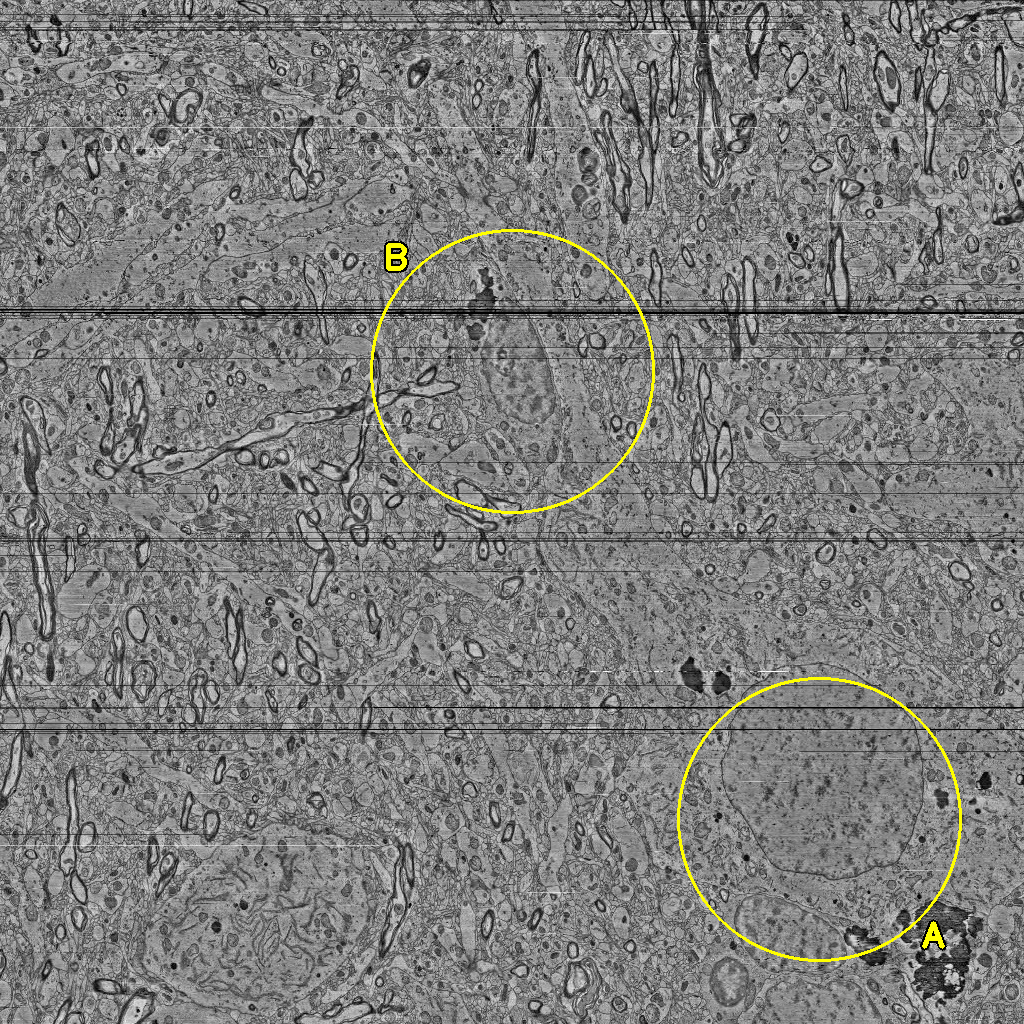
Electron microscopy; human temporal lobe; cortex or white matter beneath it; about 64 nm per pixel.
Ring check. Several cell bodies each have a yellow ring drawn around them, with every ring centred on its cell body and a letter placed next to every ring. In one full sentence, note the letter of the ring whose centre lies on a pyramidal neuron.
At the centre of ring A lies the cell asked for in this check.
